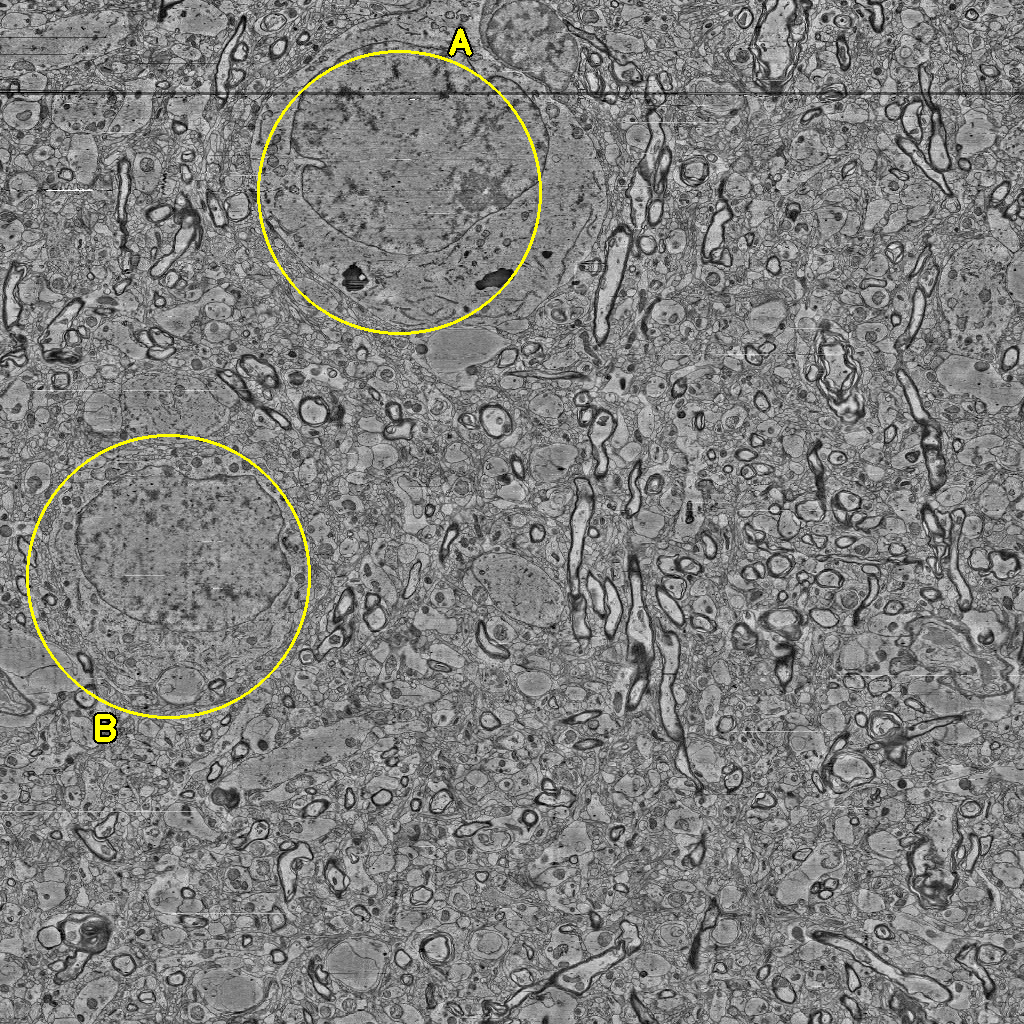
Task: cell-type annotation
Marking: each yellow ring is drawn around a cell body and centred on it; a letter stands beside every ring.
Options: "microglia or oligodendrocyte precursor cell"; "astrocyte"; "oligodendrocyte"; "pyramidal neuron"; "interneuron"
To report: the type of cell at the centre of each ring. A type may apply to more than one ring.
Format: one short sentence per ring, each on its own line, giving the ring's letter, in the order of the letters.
Ring A is centred on a pyramidal neuron.
Ring B is centred on an interneuron.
